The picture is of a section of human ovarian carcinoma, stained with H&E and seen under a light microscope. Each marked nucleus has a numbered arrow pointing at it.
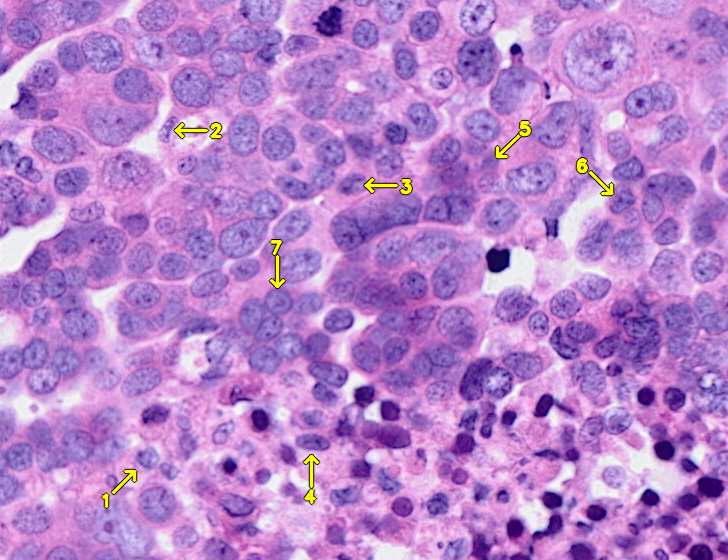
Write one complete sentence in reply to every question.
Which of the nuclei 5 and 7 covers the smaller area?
Number 5 is smaller, since number 7 takes up about 1.5 times as much area.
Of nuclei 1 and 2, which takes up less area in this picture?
Nucleus 2 covers less area, with nucleus 1 about 2 times as large.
